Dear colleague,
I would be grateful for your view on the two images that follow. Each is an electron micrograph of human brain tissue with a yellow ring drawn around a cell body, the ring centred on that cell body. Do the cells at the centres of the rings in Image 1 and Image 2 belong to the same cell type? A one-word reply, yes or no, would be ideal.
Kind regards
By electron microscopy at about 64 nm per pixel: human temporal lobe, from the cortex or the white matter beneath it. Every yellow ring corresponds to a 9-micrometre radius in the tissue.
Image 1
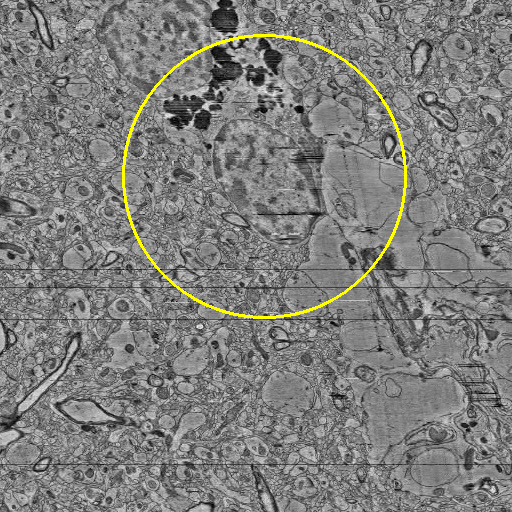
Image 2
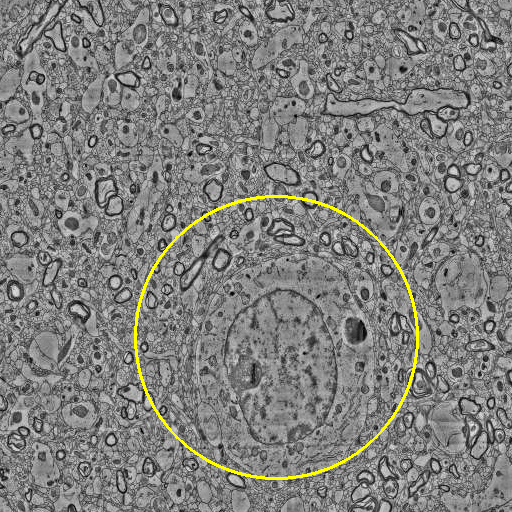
no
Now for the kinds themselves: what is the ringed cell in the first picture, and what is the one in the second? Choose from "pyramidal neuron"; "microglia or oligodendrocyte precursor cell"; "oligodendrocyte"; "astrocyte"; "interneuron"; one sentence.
Here the first cell is an oligodendrocyte and the second cell is an interneuron.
